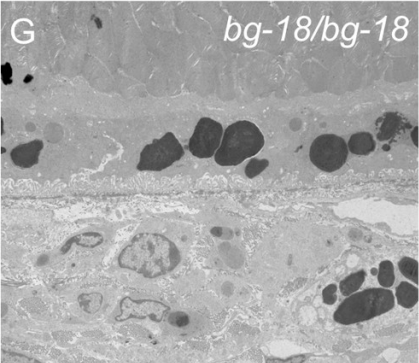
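Transmission electron micrograph through the outer retina showing the pigment epithelium and the underlying choroid. Photoreceptor outer segments occupy the top edge above the pigment epithelial layer. The pigment epithelial cytoplasm holds only a few very large, irregular, dense pigment granules rather than many small ones. In the choroid below, cells with pale nuclei lie among connective tissue, and only a few cells carry clusters of large, rounded dense granules. Overall the small, uniform pigment granules are scarce in both layers.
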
